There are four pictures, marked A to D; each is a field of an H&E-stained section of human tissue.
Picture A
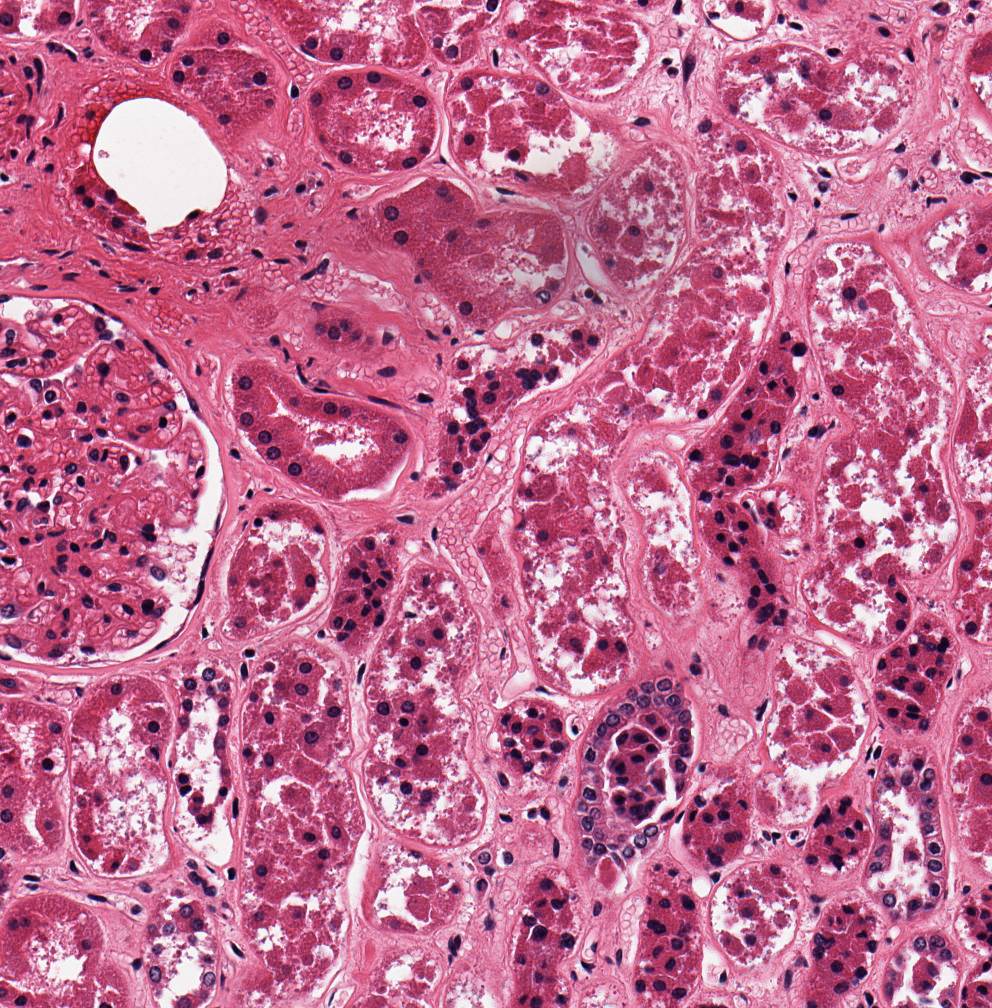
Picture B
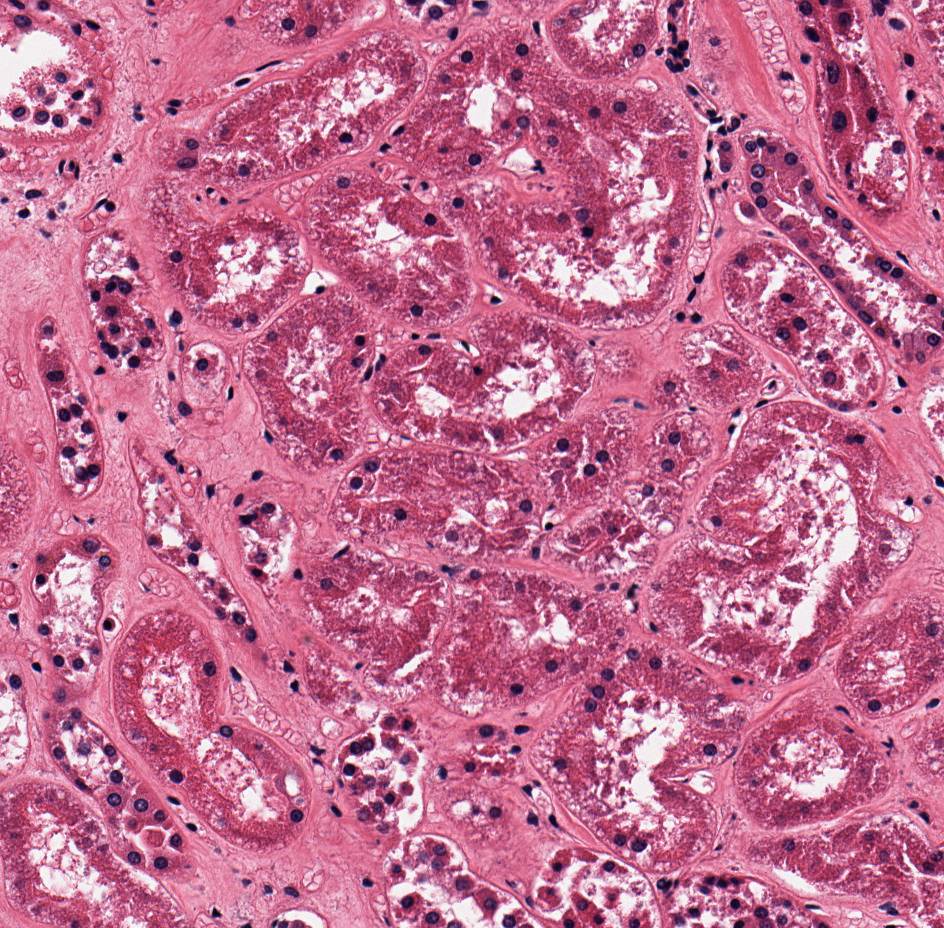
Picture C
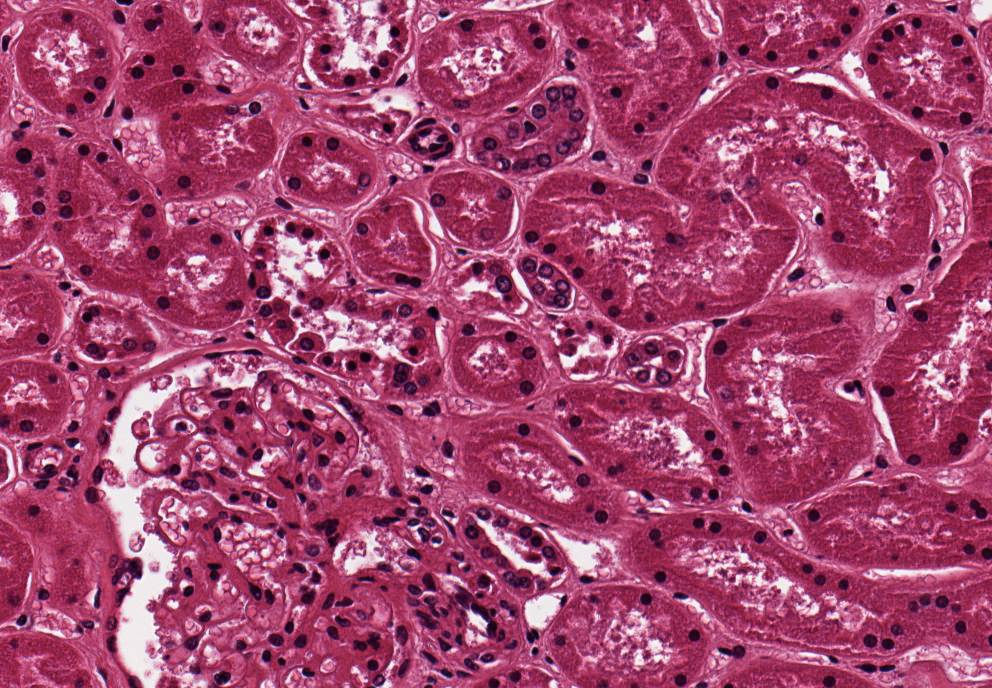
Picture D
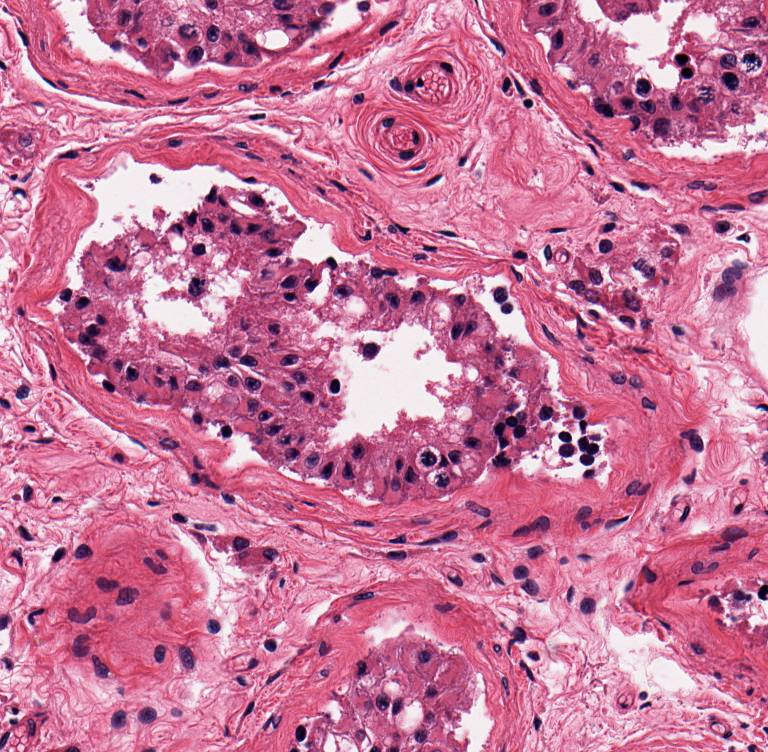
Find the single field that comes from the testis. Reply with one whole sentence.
Picture D is the field that comes from the testis.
